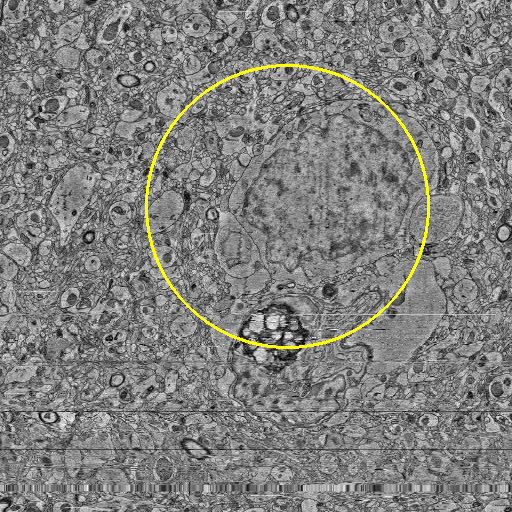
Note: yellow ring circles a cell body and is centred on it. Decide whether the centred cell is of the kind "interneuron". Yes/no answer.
Yes, the centred cell is of that kind.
